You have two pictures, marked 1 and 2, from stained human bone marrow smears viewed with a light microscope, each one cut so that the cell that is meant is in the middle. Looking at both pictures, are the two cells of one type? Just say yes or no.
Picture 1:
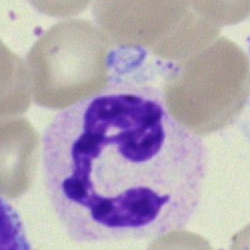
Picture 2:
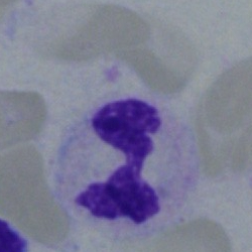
yes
